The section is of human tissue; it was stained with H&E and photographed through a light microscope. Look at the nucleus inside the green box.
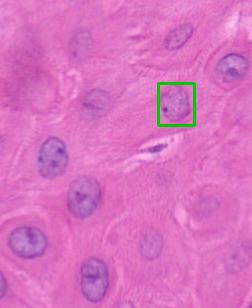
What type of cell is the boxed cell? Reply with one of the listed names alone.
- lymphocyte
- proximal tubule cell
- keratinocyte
keratinocyte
